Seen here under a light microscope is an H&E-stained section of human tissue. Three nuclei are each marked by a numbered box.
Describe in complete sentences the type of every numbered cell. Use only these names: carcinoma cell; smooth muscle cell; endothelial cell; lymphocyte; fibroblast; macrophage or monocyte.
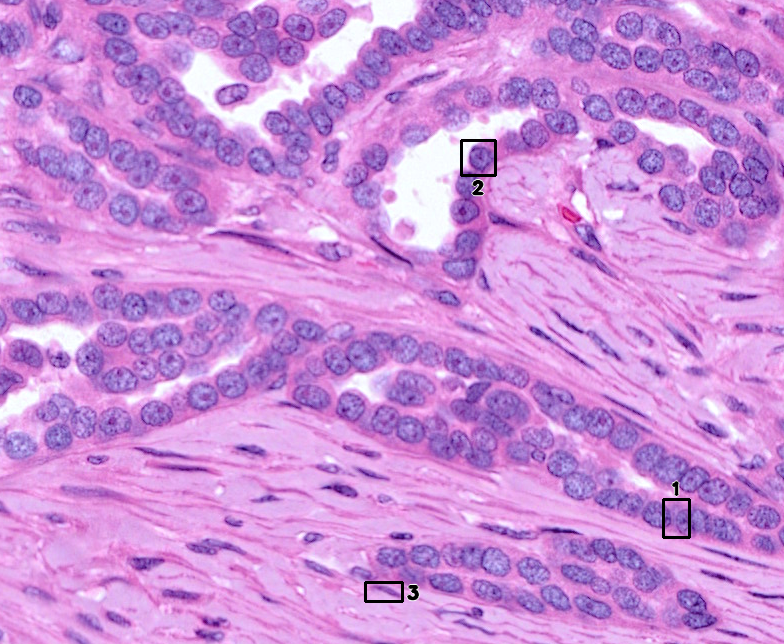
Cell 1 is a carcinoma cell, cell 2 is a carcinoma cell and cell 3 is a fibroblast.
